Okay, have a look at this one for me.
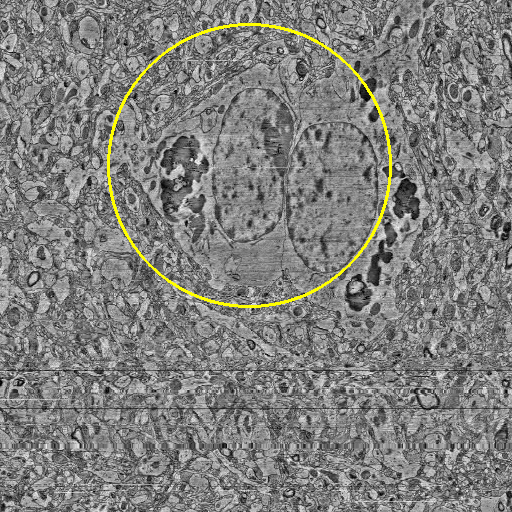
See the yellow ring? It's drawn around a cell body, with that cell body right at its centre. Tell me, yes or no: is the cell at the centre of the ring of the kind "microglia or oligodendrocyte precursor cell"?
No, it belongs to another kind.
